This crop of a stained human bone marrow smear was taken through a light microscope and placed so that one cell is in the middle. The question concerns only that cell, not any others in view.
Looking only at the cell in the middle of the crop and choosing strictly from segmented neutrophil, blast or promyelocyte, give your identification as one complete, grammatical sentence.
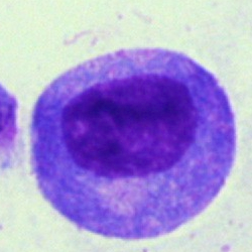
The cell at the middle of the crop is recognized as a promyelocyte.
